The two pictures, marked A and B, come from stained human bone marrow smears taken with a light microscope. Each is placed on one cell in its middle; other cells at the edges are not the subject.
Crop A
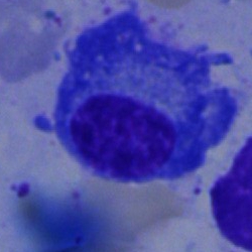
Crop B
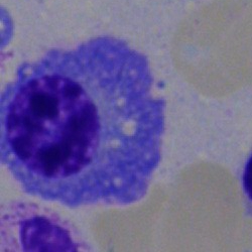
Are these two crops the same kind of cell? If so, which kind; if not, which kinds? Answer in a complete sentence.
Yes, with regard to both crops, the central cells are plasma cells.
